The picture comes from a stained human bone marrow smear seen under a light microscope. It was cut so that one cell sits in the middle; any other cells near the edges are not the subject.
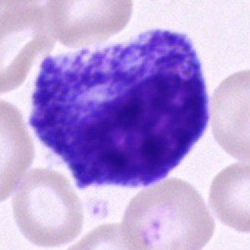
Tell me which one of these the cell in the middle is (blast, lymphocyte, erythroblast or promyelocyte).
promyelocyte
